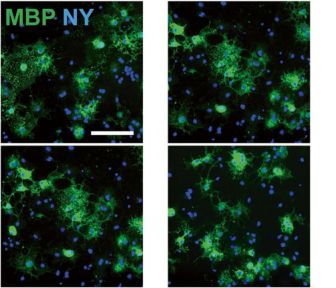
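Cultured oligodendrocytes in four fields appear as green cells that spread wide, flat membrane sheets around a central cell body. The sheets are built of densely interwoven fine processes, giving a lace-like or web-like pattern that is brighter near the centre and fainter at the edges. Some cells form nearly continuous fans of membrane, while others show looser branching. Blue nuclei are scattered throughout the field; many lie outside the green cells and belong to other cells in the culture.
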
